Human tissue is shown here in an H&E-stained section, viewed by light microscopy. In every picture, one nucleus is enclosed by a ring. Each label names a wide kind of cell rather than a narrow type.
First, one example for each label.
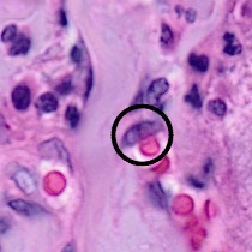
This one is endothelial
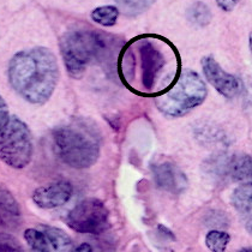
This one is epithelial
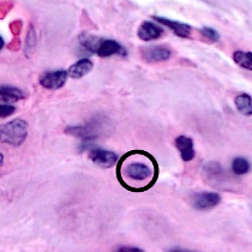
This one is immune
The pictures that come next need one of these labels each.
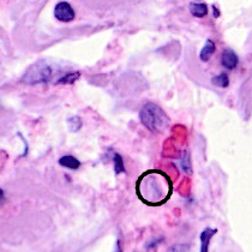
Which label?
endothelial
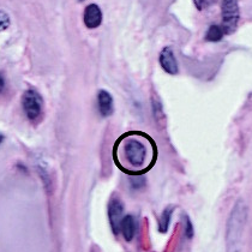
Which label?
immune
